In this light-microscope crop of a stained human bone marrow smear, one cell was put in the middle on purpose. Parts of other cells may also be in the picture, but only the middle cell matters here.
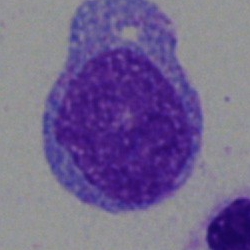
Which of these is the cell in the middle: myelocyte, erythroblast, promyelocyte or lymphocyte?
promyelocyte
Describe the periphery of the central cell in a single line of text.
Not smooth, the outline of the cell is ragged or drawn out into projections.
